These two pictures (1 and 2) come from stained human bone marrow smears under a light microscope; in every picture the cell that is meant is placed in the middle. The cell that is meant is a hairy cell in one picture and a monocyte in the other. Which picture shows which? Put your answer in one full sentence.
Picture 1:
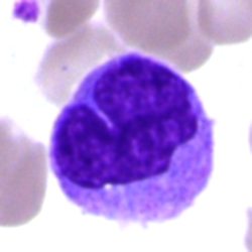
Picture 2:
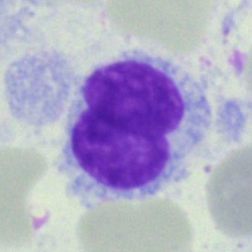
Picture 1 is of a monocyte, and picture 2 is of a hairy cell.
